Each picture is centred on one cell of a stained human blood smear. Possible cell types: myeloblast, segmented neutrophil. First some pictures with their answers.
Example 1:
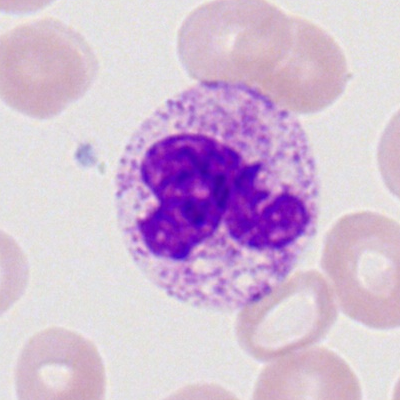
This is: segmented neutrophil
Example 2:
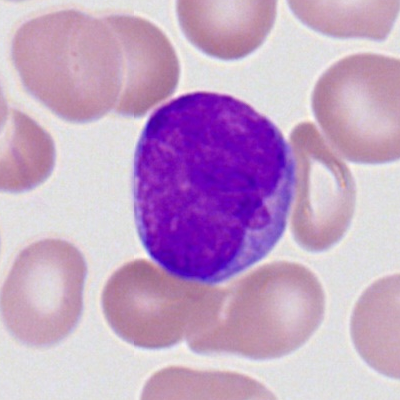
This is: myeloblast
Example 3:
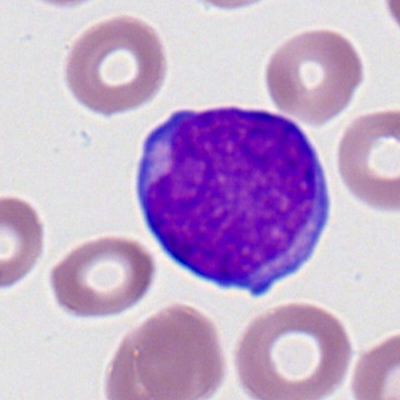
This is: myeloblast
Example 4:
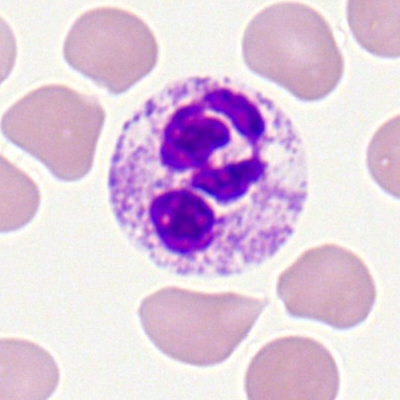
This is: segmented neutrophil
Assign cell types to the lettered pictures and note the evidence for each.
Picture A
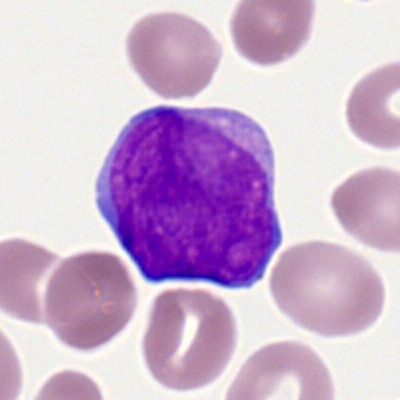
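myeloblast. The nucleus fills most of the cell.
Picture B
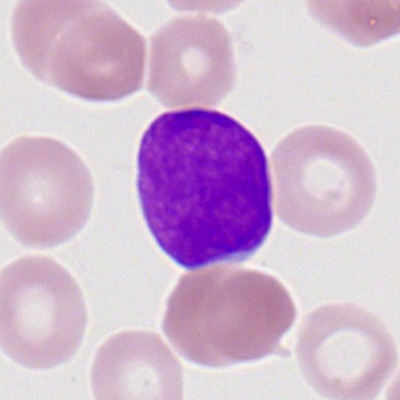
myeloblast. Only a scant rim of pale blue cytoplasm shows, mainly along the lower edge.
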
